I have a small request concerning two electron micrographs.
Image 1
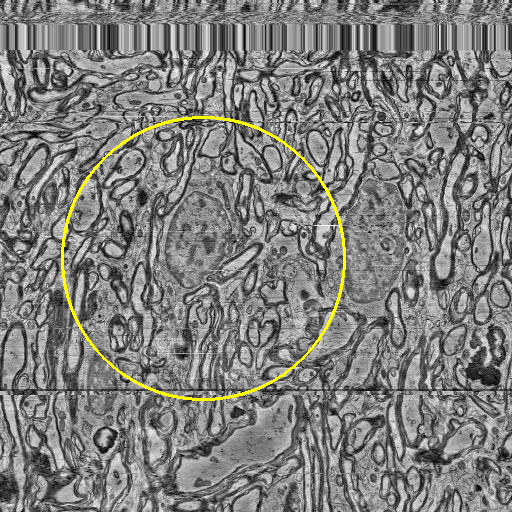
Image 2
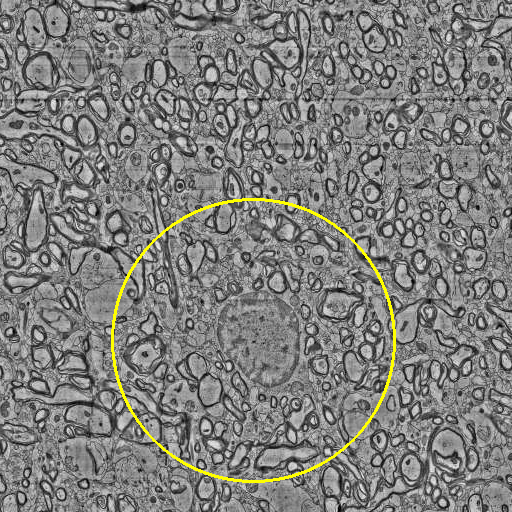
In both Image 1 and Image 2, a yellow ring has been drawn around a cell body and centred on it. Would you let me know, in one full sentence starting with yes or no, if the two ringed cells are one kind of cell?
Yes, the cells ringed in Image 1 and Image 2 are one kind of cell.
